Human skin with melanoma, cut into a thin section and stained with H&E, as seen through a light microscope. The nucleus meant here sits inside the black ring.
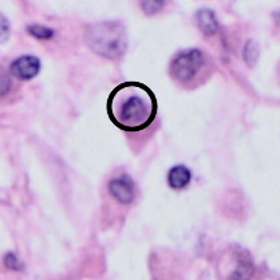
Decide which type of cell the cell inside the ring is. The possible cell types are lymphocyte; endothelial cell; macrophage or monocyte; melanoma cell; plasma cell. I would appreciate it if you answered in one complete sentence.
In the tissue under study, the cell inside the ring is a macrophage or monocyte.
